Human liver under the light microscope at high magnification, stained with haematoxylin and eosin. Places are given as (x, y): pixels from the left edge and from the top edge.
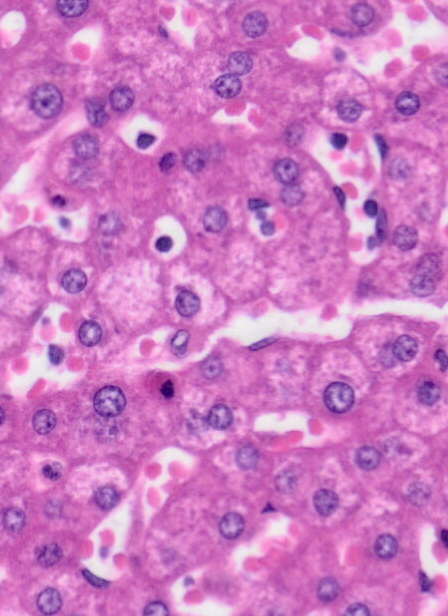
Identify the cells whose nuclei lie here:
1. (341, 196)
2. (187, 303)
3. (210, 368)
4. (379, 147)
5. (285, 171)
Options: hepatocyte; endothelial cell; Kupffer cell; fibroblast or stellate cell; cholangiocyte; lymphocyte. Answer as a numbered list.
1. endothelial cell
2. hepatocyte
3. hepatocyte
4. fibroblast or stellate cell
5. hepatocyte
